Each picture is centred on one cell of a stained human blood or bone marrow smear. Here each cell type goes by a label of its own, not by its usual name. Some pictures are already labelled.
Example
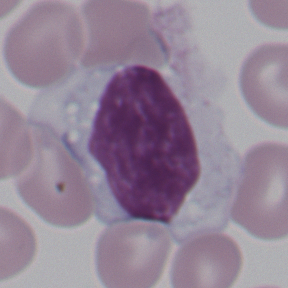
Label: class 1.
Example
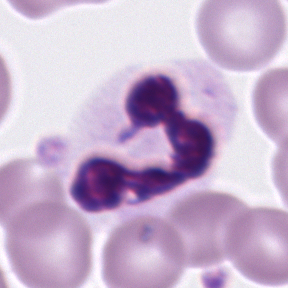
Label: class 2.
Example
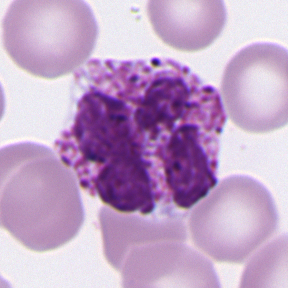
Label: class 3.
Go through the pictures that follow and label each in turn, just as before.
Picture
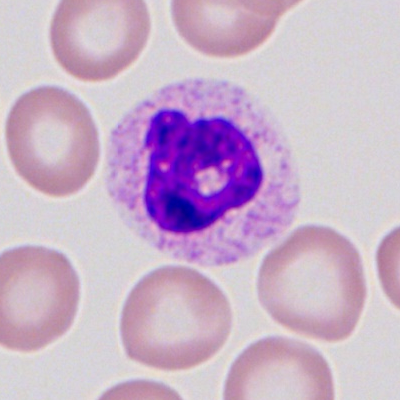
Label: class 2.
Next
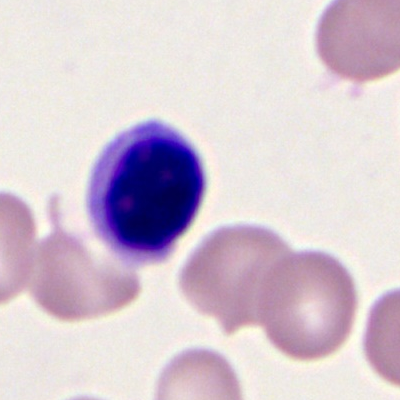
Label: class 1.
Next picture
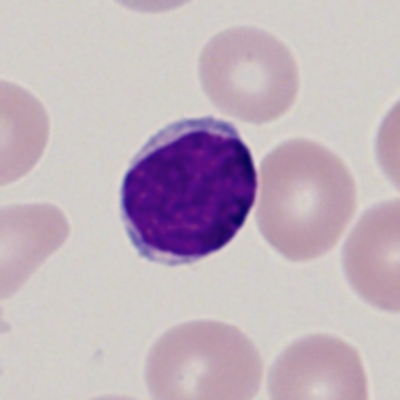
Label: class 1.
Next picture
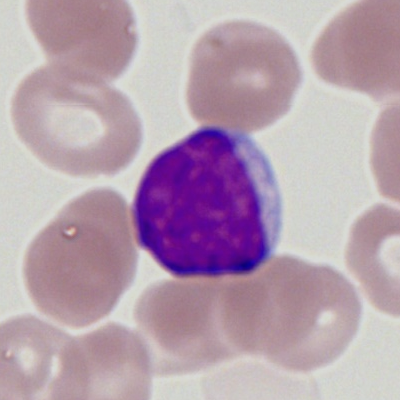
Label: class 1.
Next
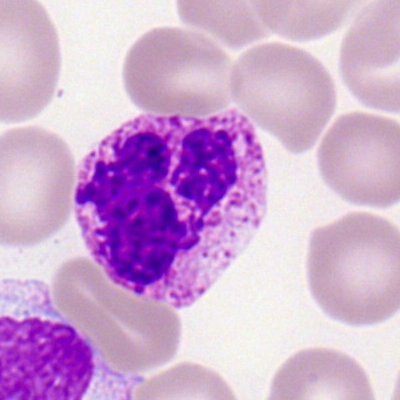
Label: class 3.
